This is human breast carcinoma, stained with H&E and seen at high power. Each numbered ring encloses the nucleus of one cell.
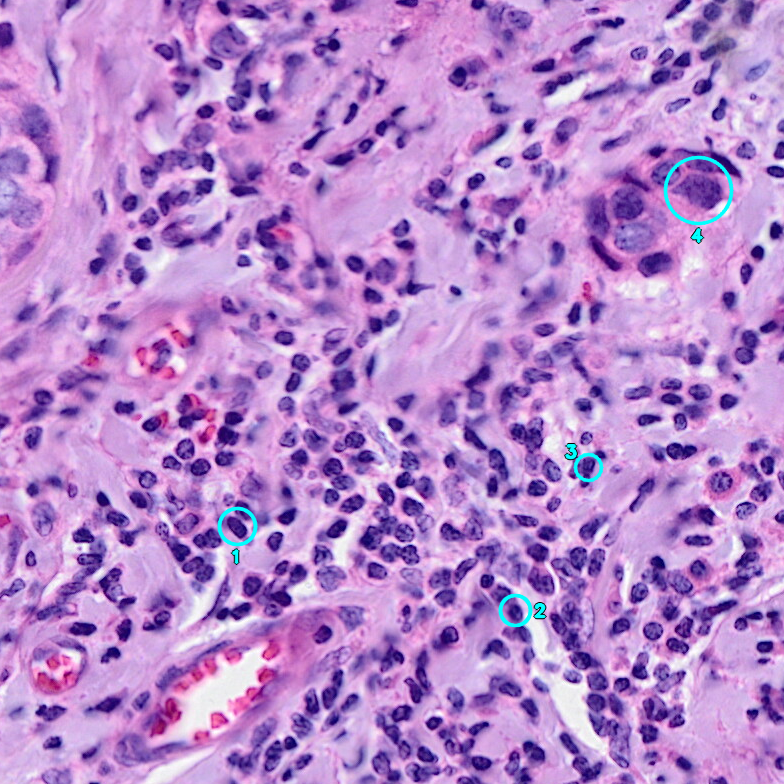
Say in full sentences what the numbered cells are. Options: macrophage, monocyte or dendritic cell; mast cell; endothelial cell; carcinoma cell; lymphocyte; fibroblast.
Cells 1, 2 and 3 are lymphocytes. Cell 4 is a carcinoma cell.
